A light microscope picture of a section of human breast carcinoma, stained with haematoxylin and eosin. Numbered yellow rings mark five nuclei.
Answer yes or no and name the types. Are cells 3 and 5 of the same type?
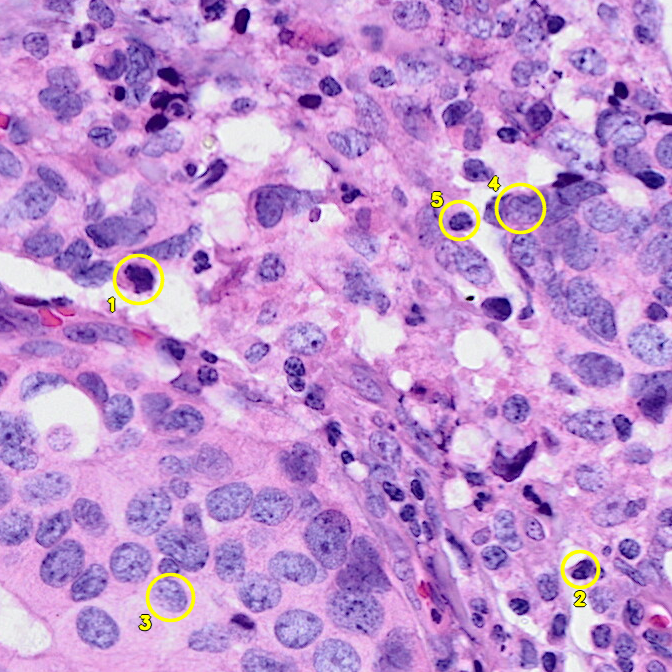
No, cell 3 is a carcinoma cell, while a lymphocyte is what cell 5 is.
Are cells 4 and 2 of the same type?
No, while cell 4 is a carcinoma cell, cell 2 is a lymphocyte.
